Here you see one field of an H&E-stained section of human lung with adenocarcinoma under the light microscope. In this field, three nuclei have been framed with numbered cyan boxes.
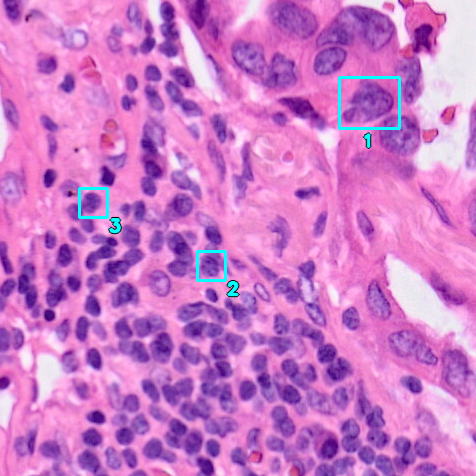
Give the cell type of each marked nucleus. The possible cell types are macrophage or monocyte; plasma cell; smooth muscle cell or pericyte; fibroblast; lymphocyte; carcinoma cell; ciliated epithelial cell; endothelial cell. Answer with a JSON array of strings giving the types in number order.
["carcinoma cell", "lymphocyte", "lymphocyte"]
